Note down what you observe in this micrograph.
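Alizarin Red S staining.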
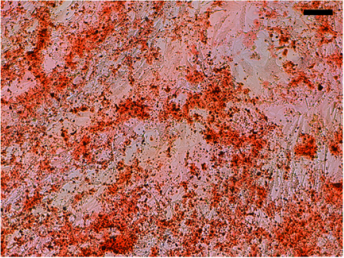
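The deposits are heaviest toward the left and lower parts, where they merge into a nearly continuous crust of coarse grains and dark specks, while toward the upper right the underlying elongated cells show through more clearly as pale greyish streaks aligned in bundles. No single nuclei are distinct; the picture is dominated by the patchy, speckled red-stained material spread through the cell layer.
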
